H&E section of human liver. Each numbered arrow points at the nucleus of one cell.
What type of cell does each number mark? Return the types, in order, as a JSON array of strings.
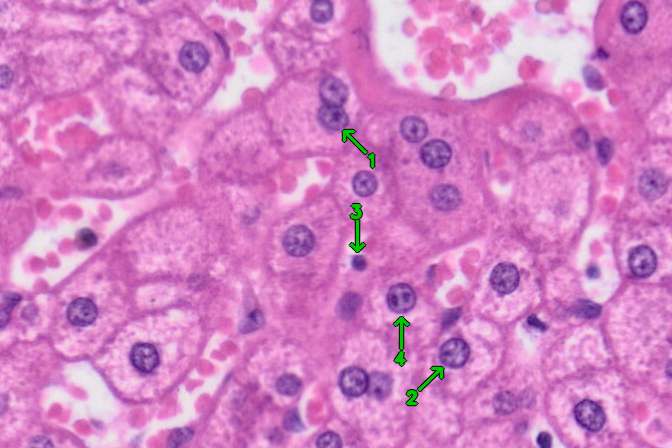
["hepatocyte", "hepatocyte", "lymphocyte", "hepatocyte"]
